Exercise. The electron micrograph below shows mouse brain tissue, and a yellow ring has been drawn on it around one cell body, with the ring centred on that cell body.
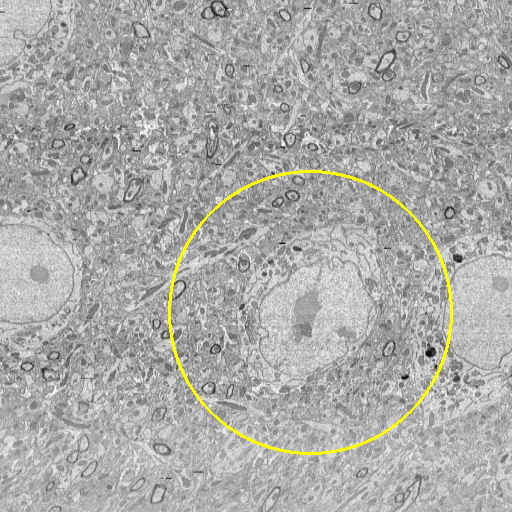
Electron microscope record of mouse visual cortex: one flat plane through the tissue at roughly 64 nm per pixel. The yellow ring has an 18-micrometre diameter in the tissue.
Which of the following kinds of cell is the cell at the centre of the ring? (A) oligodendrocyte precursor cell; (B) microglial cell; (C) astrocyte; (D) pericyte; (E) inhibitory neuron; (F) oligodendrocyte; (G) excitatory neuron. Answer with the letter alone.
E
